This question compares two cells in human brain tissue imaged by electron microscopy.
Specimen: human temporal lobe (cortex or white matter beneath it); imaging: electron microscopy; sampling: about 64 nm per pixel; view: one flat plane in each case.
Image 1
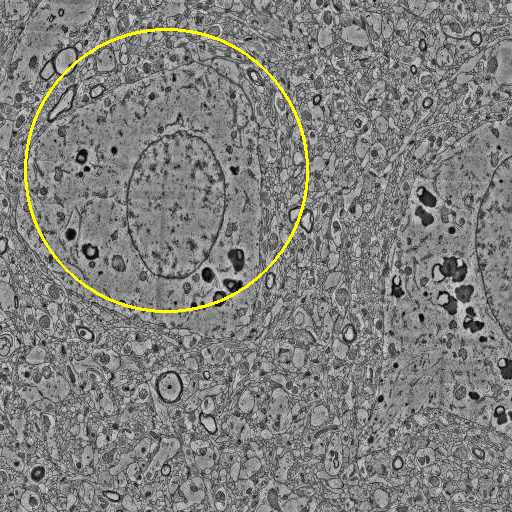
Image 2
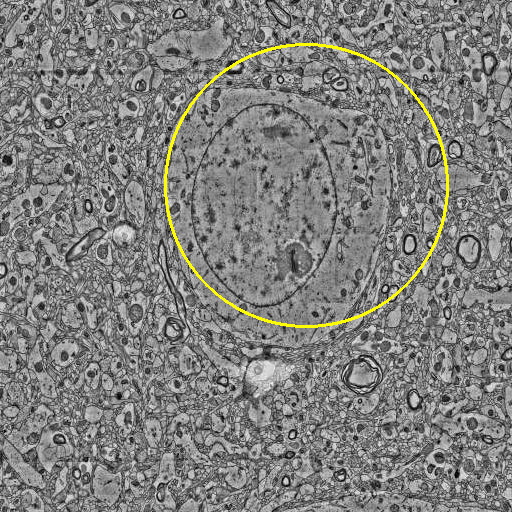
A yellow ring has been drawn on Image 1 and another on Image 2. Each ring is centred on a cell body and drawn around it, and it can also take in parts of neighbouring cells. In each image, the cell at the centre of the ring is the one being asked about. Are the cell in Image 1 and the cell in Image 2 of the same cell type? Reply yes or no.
yes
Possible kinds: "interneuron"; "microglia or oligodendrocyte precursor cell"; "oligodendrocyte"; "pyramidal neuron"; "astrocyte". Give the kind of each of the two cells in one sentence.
In each picture the ringed cell is a pyramidal neuron.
